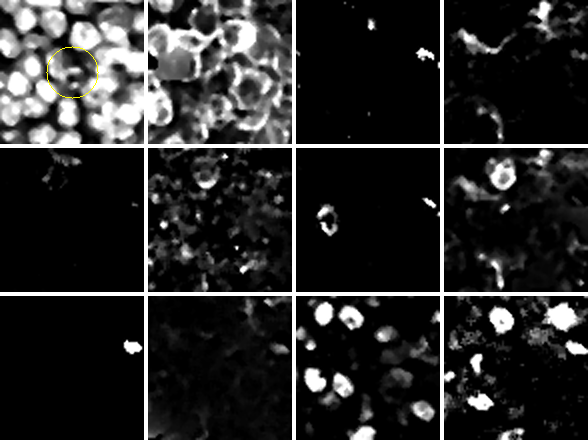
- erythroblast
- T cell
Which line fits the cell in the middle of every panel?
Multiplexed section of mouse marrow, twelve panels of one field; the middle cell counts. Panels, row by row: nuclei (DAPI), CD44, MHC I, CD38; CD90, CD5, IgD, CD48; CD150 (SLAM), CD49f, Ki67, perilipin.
erythroblast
